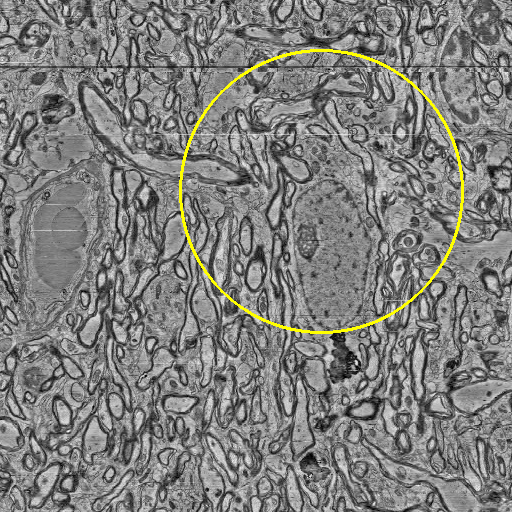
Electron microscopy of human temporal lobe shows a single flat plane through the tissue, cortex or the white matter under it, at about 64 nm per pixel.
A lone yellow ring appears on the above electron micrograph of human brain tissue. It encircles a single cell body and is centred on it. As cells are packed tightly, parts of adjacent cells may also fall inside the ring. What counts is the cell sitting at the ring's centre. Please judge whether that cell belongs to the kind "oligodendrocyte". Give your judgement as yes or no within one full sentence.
No, the cell lying at the centre of the ring in the picture belongs to another kind.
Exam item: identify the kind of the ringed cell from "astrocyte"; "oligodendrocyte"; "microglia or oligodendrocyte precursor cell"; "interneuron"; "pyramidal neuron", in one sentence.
It is an astrocyte that the ring is centred on.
